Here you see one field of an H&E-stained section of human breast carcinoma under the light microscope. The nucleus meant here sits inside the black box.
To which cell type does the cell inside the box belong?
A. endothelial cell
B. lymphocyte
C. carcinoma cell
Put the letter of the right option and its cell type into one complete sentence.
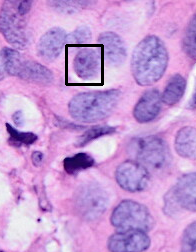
Under option C, the cell inside the box is listed as a carcinoma cell, which is correct.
